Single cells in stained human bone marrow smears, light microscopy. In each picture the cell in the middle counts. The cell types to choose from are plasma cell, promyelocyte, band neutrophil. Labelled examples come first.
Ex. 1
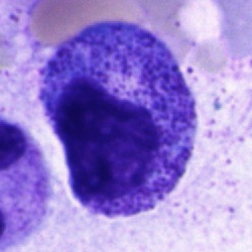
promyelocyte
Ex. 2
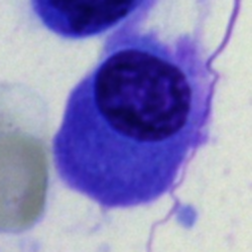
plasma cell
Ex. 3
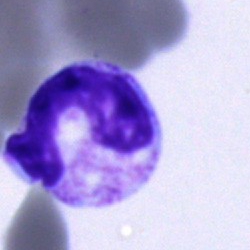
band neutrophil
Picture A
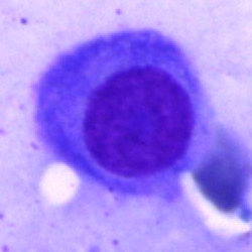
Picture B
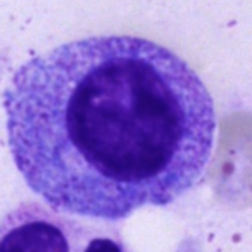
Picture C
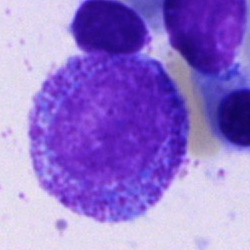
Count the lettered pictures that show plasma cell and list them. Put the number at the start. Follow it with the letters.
1, namely A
